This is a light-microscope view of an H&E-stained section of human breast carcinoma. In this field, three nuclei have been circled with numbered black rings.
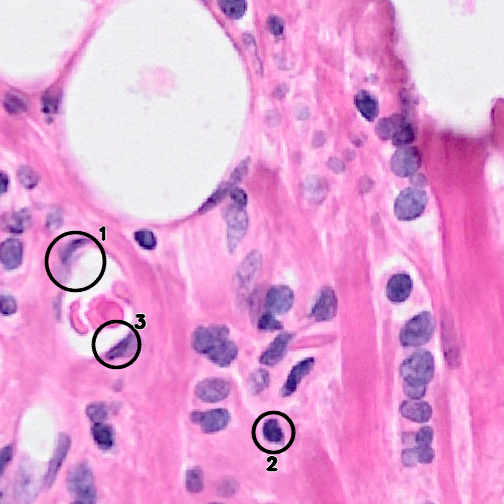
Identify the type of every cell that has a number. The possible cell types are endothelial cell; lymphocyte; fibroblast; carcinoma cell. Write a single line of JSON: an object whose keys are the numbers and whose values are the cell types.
{"1": "endothelial cell", "2": "lymphocyte", "3": "endothelial cell"}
